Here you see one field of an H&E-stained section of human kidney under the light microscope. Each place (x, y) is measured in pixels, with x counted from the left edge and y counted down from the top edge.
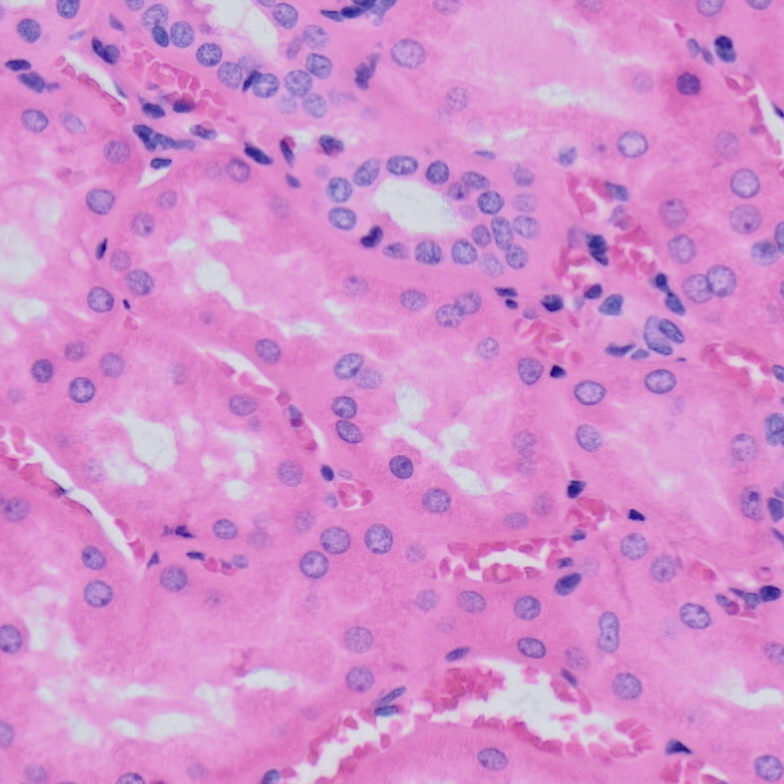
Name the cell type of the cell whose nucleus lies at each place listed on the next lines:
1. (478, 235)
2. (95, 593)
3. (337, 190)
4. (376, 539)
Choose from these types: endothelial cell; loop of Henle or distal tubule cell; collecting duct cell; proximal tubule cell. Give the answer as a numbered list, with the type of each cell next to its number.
1. collecting duct cell
2. proximal tubule cell
3. collecting duct cell
4. proximal tubule cell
